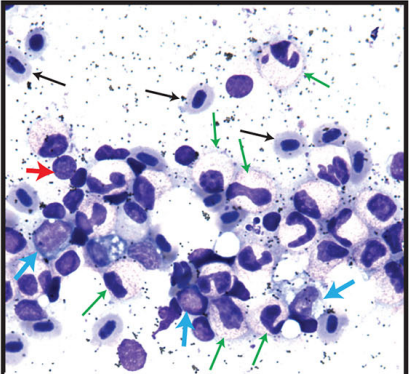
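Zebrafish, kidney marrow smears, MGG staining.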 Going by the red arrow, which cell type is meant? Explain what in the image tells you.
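The marked cell is small and round. Its dense dark nucleus fills almost the whole cell, leaving scant cytoplasm.
Conclusion: lymphocytes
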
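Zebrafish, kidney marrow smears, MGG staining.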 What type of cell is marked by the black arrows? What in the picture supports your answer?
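The marked cells are oval with a central oval dark nucleus.
Hence: Erythrocytes.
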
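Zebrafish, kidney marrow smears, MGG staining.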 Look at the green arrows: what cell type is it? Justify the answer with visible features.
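Myeloid cells. The marked cells have lobed or segmented, dark purple nuclei. Their cytoplasm is pale and finely granular.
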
